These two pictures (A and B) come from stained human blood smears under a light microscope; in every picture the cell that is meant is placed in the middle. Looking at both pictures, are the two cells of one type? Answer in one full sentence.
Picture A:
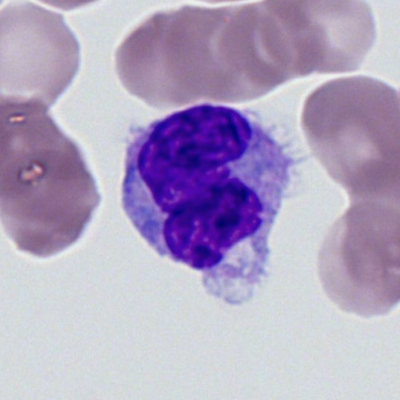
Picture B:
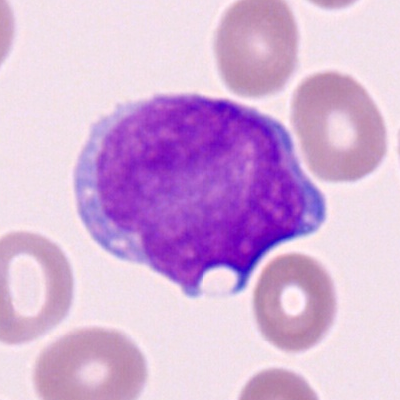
No, picture A shows a monocyte and picture B shows a myeloblast.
